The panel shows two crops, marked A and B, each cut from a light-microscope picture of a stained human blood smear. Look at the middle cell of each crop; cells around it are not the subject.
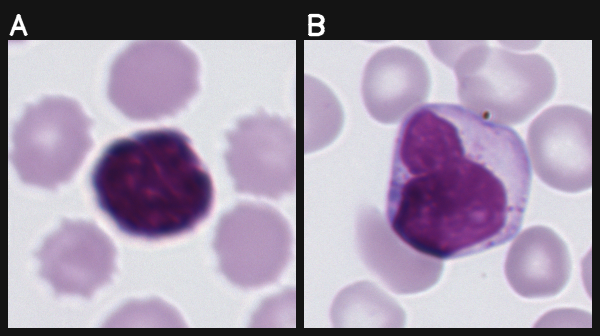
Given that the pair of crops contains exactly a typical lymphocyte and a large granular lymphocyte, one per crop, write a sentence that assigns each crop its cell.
Crop B is a large granular lymphocyte, while crop A is a typical lymphocyte.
